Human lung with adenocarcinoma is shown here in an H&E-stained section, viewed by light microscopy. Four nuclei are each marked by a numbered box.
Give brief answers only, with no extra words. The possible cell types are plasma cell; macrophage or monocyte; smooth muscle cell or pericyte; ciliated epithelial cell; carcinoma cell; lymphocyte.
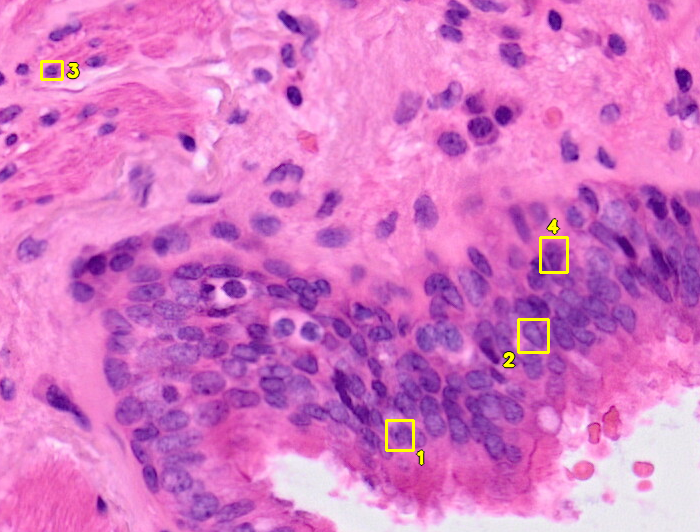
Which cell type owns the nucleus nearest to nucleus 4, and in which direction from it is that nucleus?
a ciliated epithelial cell, below and to the left of nucleus 4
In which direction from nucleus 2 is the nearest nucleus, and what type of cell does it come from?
a ciliated epithelial cell to the right of nucleus 2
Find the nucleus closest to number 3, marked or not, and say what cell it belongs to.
smooth muscle cell or pericyte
